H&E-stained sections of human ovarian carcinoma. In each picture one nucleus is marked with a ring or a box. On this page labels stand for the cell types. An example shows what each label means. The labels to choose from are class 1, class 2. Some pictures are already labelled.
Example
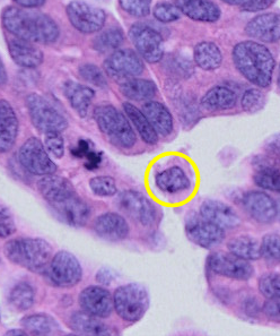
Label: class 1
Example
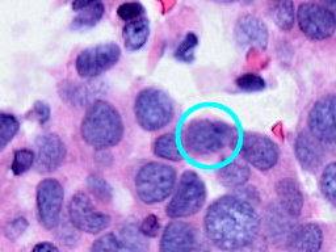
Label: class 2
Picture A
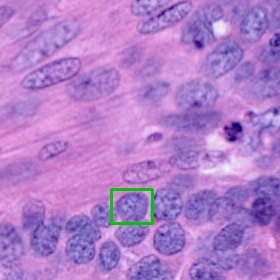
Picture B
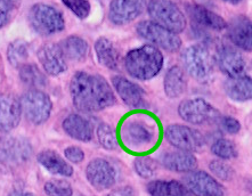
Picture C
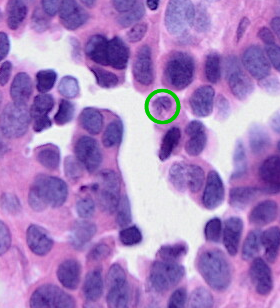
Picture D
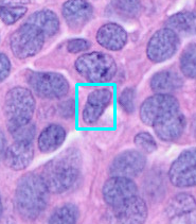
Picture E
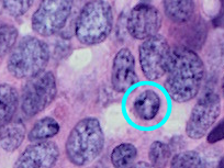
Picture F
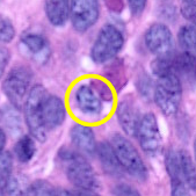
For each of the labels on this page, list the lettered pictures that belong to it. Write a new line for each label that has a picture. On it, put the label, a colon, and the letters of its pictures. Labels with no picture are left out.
class 1: C, E, F
class 2: A, B, D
